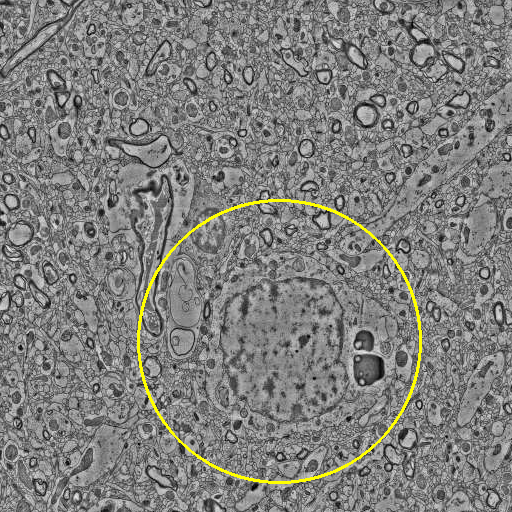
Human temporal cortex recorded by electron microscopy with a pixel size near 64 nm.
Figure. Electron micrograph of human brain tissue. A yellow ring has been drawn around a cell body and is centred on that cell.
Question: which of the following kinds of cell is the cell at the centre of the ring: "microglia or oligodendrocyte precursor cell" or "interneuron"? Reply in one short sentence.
The cell at the centre of the ring is an interneuron.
